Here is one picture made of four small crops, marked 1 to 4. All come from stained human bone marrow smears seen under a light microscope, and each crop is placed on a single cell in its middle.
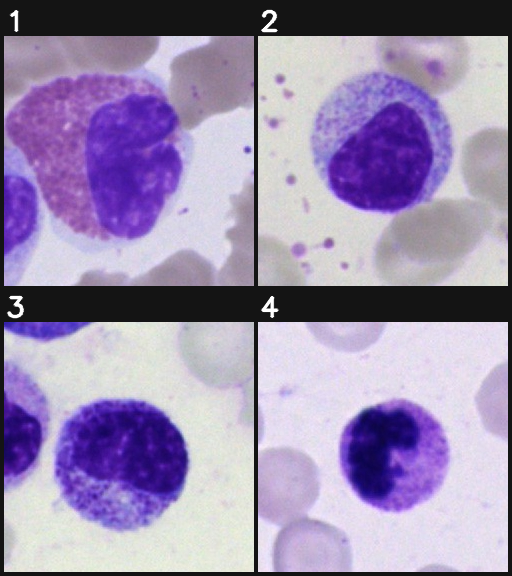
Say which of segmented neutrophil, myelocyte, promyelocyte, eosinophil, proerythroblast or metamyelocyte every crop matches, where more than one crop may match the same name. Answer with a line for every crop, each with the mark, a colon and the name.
1: eosinophil
2: myelocyte
3: metamyelocyte
4: segmented neutrophil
